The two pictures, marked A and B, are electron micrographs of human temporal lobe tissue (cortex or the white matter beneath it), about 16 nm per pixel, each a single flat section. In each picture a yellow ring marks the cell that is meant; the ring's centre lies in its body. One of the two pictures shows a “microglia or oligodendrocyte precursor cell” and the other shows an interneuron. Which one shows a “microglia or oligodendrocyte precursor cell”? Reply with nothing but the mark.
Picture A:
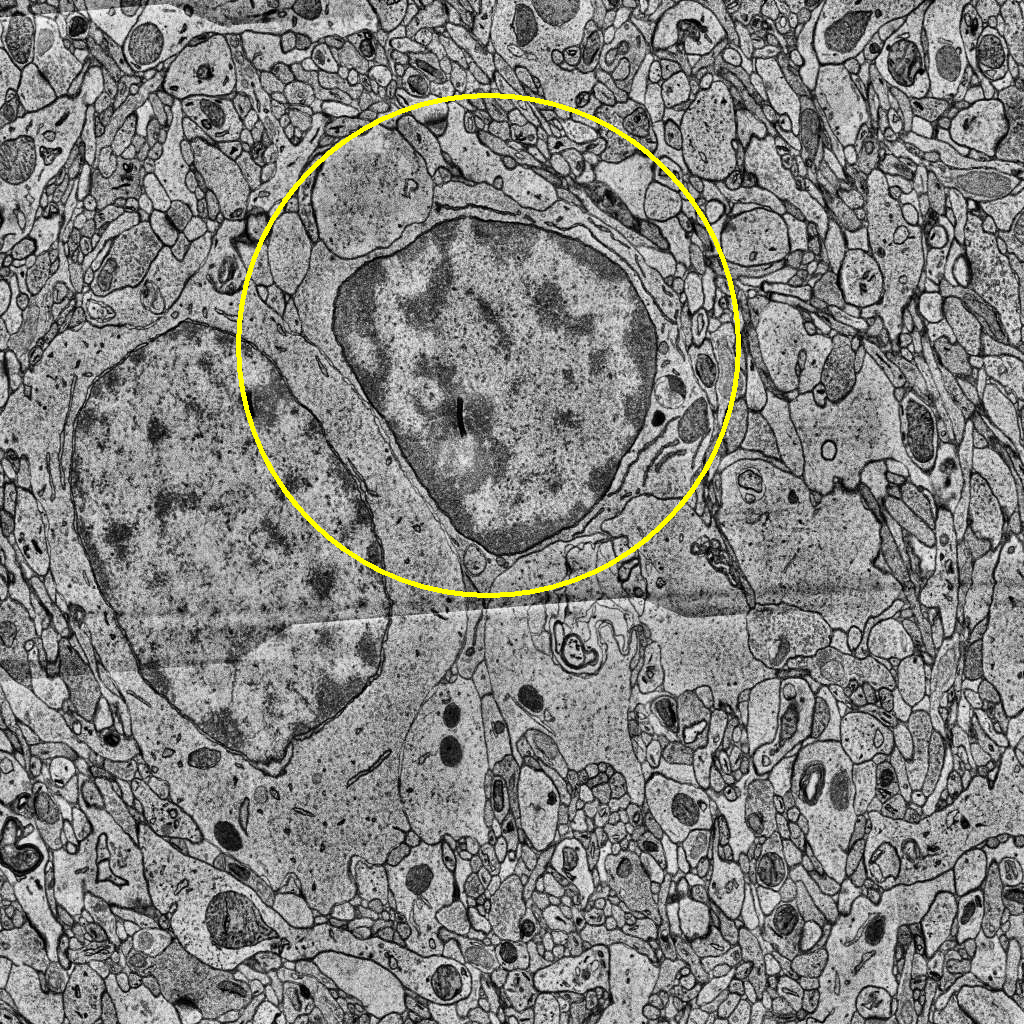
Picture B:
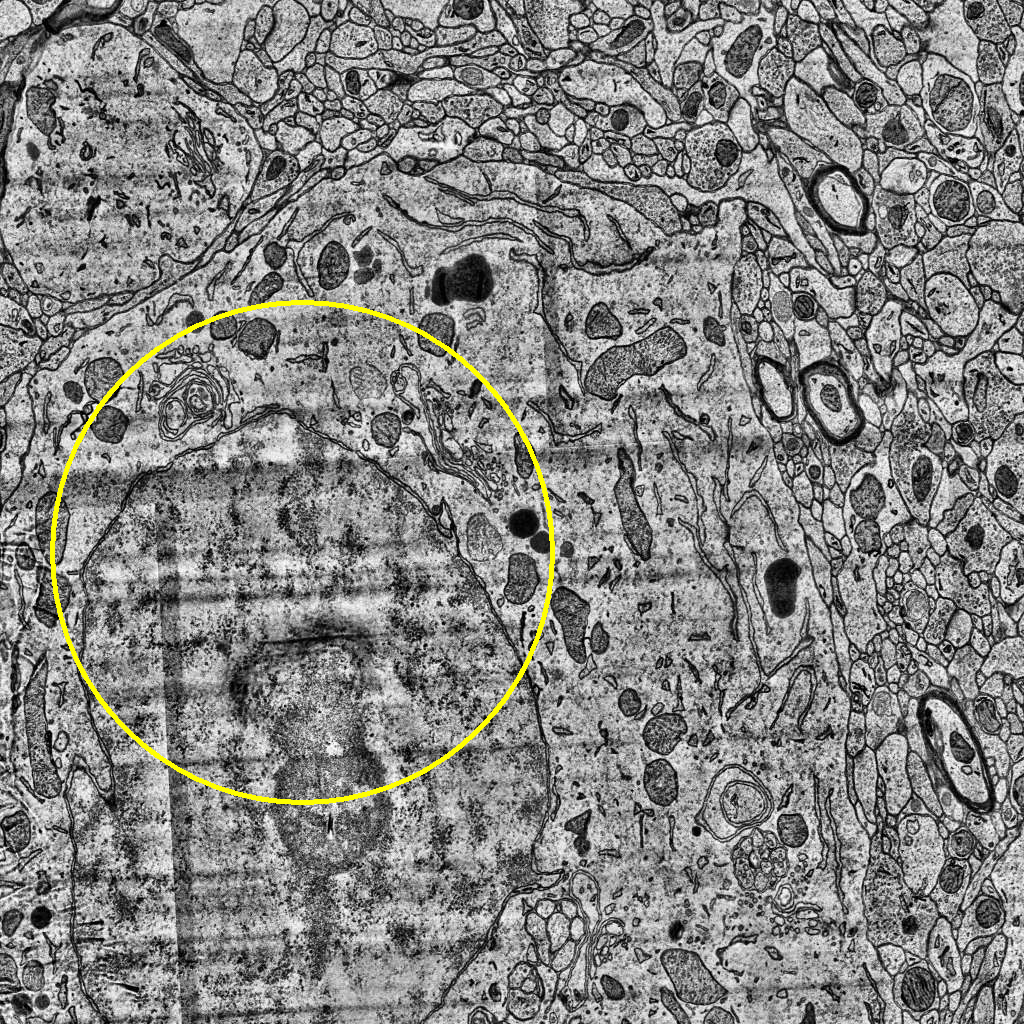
A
